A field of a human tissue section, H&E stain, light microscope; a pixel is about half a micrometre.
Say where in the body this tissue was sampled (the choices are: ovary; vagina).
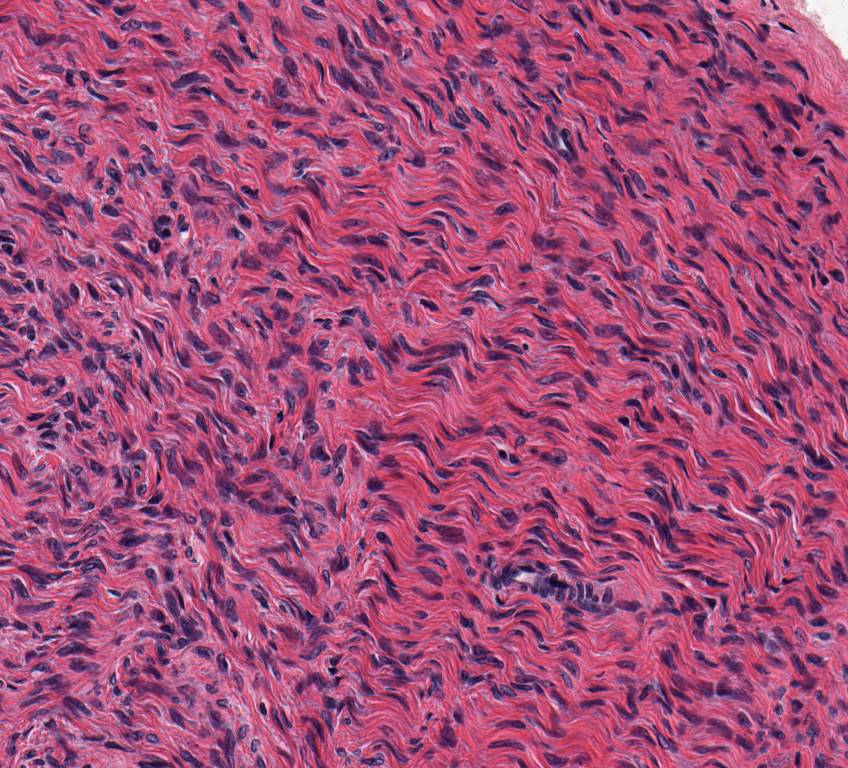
ovary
